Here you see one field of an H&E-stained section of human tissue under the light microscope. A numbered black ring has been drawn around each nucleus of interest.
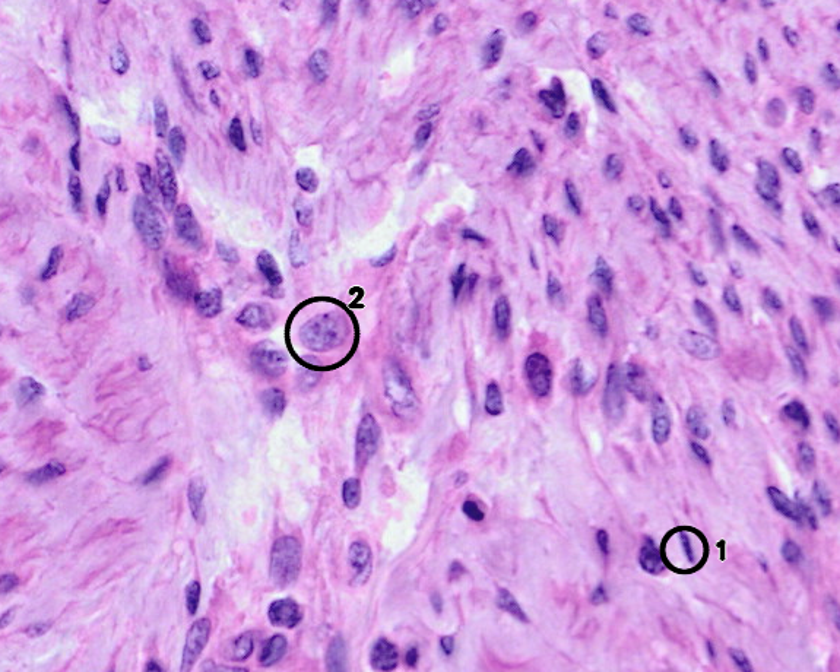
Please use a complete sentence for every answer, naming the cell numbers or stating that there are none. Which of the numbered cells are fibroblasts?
Just one of the numbered cells is a fibroblast, namely number 1.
